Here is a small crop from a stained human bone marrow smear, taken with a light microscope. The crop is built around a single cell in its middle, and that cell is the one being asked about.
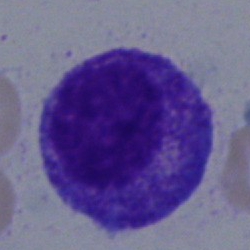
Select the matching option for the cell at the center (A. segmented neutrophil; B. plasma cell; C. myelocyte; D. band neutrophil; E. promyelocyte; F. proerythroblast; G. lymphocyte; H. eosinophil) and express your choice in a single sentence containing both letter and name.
Option E correctly names the cell in the middle as a promyelocyte.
